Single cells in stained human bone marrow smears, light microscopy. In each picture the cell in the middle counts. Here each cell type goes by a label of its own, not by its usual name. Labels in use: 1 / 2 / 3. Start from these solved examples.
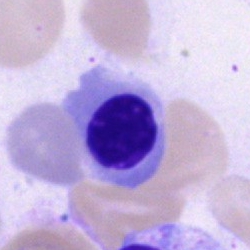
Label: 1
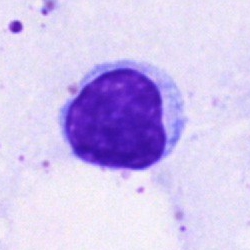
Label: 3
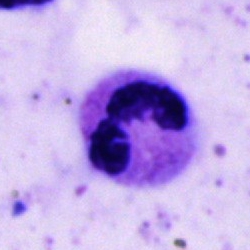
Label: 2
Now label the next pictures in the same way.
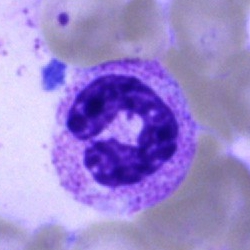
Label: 2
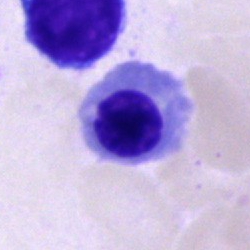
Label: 1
